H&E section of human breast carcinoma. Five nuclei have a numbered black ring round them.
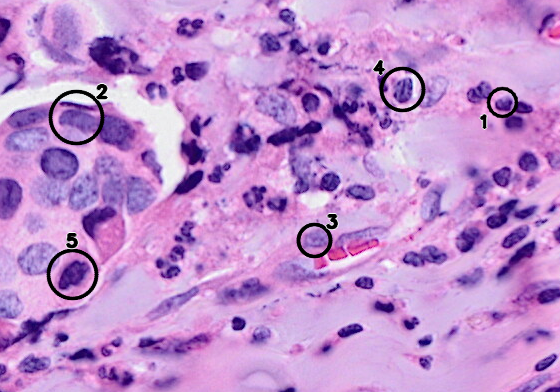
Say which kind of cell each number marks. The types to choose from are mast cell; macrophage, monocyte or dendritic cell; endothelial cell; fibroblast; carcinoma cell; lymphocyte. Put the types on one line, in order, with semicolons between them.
lymphocyte; carcinoma cell; endothelial cell; lymphocyte; carcinoma cell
